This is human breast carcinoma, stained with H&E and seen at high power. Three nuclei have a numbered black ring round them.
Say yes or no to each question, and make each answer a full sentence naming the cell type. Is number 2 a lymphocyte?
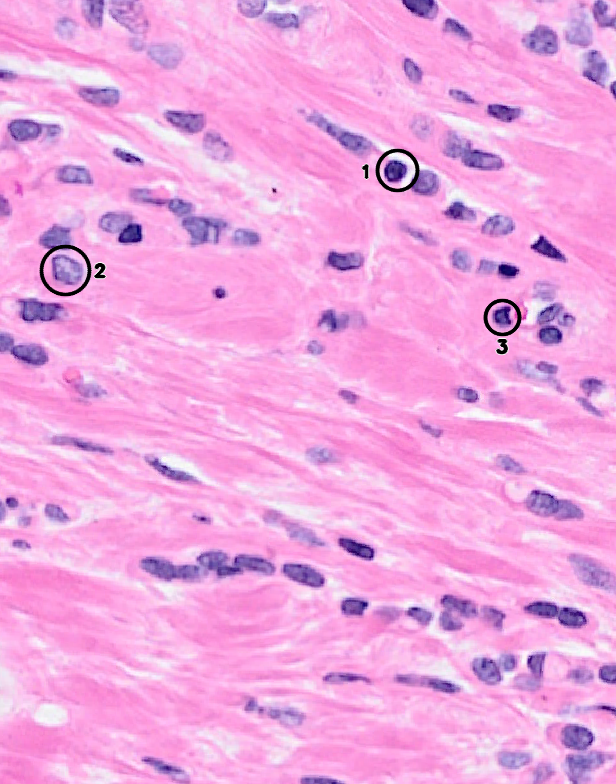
No, the cell tagged 2 is a carcinoma cell, and not a lymphocyte.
